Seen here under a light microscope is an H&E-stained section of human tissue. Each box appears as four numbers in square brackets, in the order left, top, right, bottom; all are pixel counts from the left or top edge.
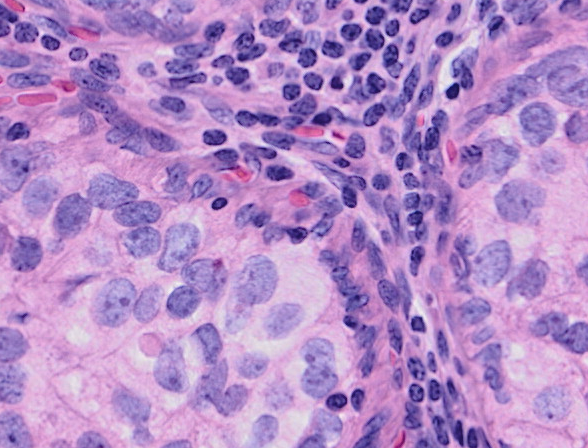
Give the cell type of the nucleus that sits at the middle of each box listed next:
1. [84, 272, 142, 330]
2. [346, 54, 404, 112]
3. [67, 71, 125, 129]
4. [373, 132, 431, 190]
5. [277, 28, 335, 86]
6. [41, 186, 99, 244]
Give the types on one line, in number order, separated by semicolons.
carcinoma cell; lymphocyte; endothelial cell; lymphocyte; lymphocyte; carcinoma cell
